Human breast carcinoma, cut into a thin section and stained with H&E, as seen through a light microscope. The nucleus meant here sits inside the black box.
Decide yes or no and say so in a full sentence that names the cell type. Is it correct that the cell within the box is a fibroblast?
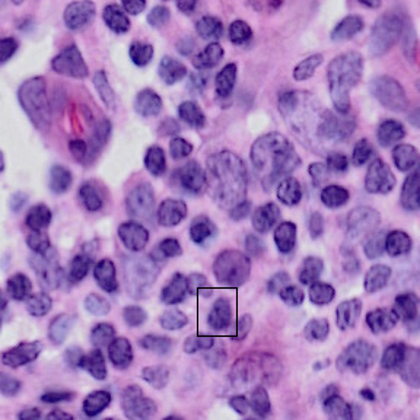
No, the cell within the box is a lymphocyte, and it is not a fibroblast.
